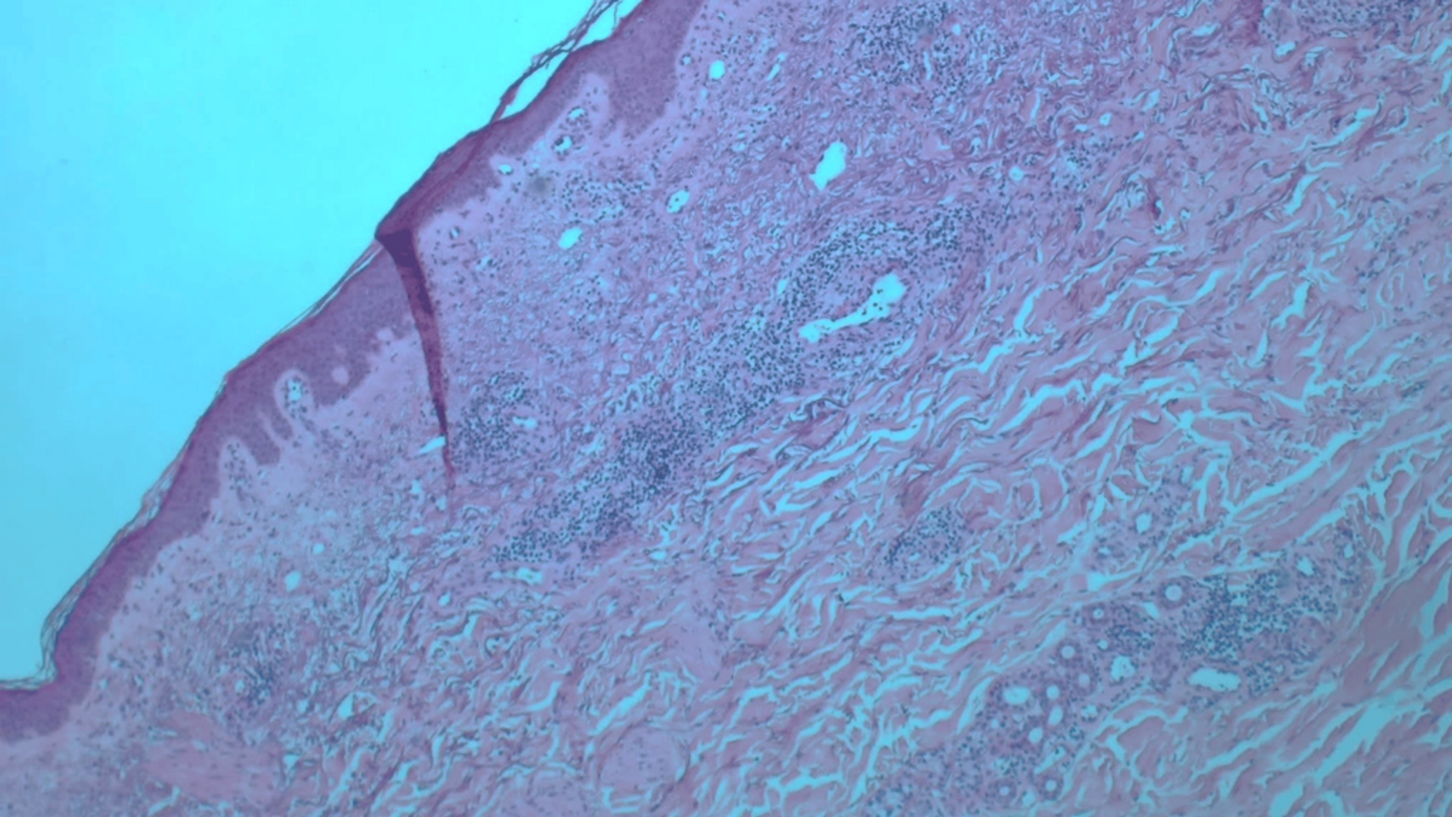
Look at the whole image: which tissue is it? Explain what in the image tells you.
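A thin stratified epithelium with a pink surface layer lines the upper left edge. Beneath it lies dermis of pink collagen bundles. Small round glandular tubules sit in the deeper dermis at lower right. The answer: skin.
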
